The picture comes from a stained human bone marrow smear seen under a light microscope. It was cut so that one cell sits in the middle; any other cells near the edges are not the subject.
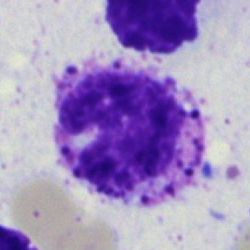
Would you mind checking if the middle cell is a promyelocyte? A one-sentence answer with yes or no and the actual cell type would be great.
No, what the centre of the crop shows is a basophil, not a promyelocyte.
